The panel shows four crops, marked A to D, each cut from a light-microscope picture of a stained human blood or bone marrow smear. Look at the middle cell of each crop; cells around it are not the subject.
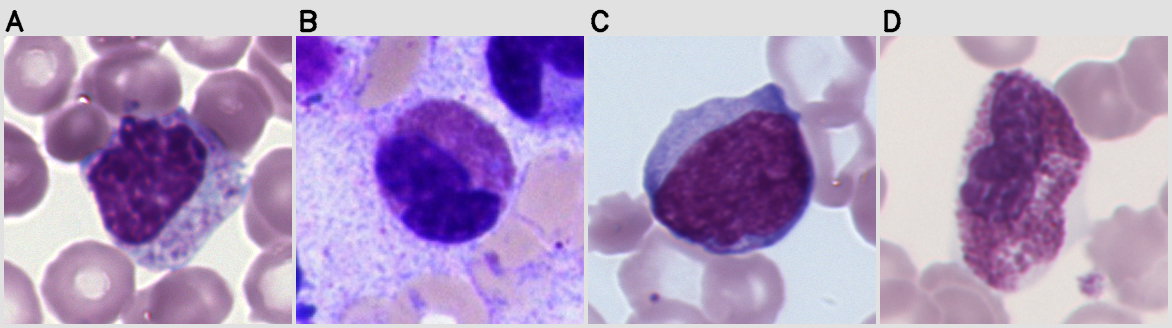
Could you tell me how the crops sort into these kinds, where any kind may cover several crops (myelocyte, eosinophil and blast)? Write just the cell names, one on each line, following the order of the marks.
myelocyte
eosinophil
blast
eosinophil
